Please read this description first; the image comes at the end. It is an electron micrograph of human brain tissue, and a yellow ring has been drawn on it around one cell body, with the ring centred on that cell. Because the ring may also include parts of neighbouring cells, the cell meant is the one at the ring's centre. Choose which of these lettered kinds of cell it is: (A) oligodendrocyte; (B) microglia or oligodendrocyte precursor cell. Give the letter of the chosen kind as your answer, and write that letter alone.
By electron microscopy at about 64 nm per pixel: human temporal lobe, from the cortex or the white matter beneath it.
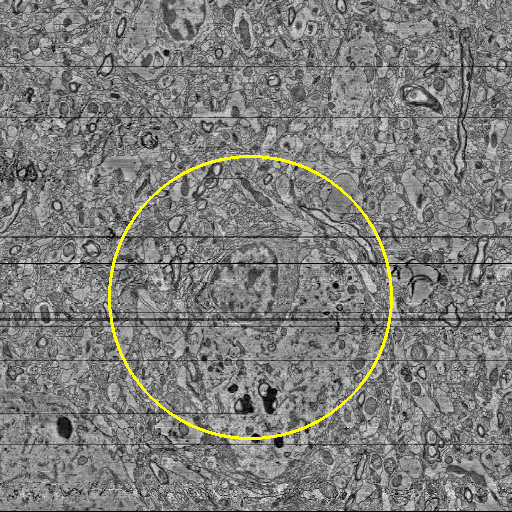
A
